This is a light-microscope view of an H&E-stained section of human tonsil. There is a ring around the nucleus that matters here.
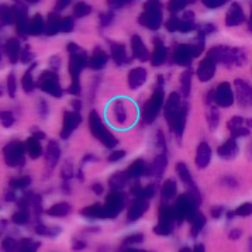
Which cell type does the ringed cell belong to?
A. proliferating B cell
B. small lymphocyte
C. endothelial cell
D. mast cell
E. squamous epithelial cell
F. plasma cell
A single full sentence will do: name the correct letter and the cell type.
As the ringed cell is an endothelial cell, the correct choice is option C.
